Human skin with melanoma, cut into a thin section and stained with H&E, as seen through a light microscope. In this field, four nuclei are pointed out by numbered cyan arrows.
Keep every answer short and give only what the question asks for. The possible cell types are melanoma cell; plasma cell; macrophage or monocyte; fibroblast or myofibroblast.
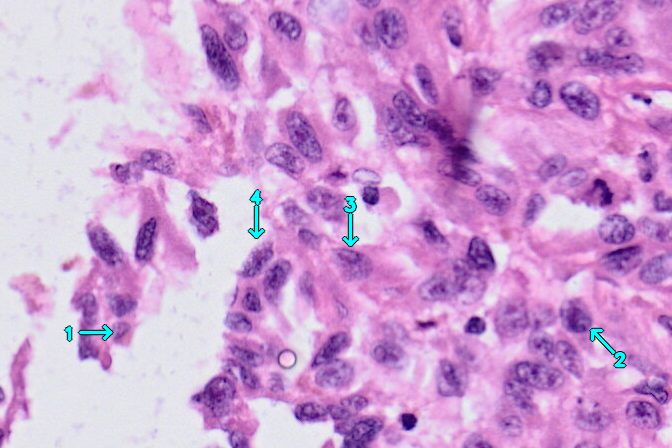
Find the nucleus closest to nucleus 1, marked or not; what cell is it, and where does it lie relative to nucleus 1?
a melanoma cell, above nucleus 1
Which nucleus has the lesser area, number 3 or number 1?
1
